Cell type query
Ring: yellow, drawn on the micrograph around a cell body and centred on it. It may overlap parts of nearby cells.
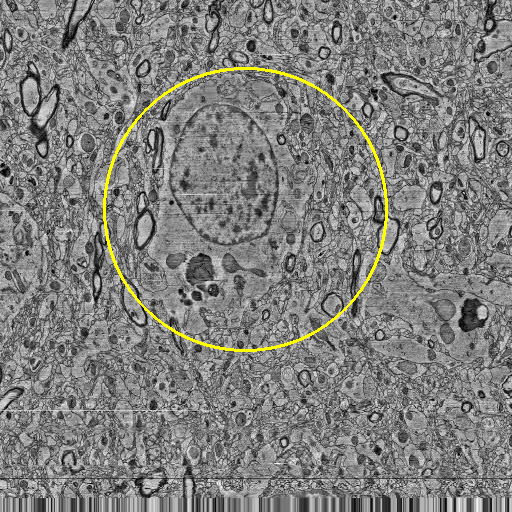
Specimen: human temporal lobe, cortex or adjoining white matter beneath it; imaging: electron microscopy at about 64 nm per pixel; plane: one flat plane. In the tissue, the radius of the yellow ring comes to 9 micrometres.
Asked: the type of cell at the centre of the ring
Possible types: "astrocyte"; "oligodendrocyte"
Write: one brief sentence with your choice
The ring marks an astrocyte.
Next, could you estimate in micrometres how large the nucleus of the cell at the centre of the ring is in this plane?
About 9 micrometres by about 7 micrometres in this plane.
